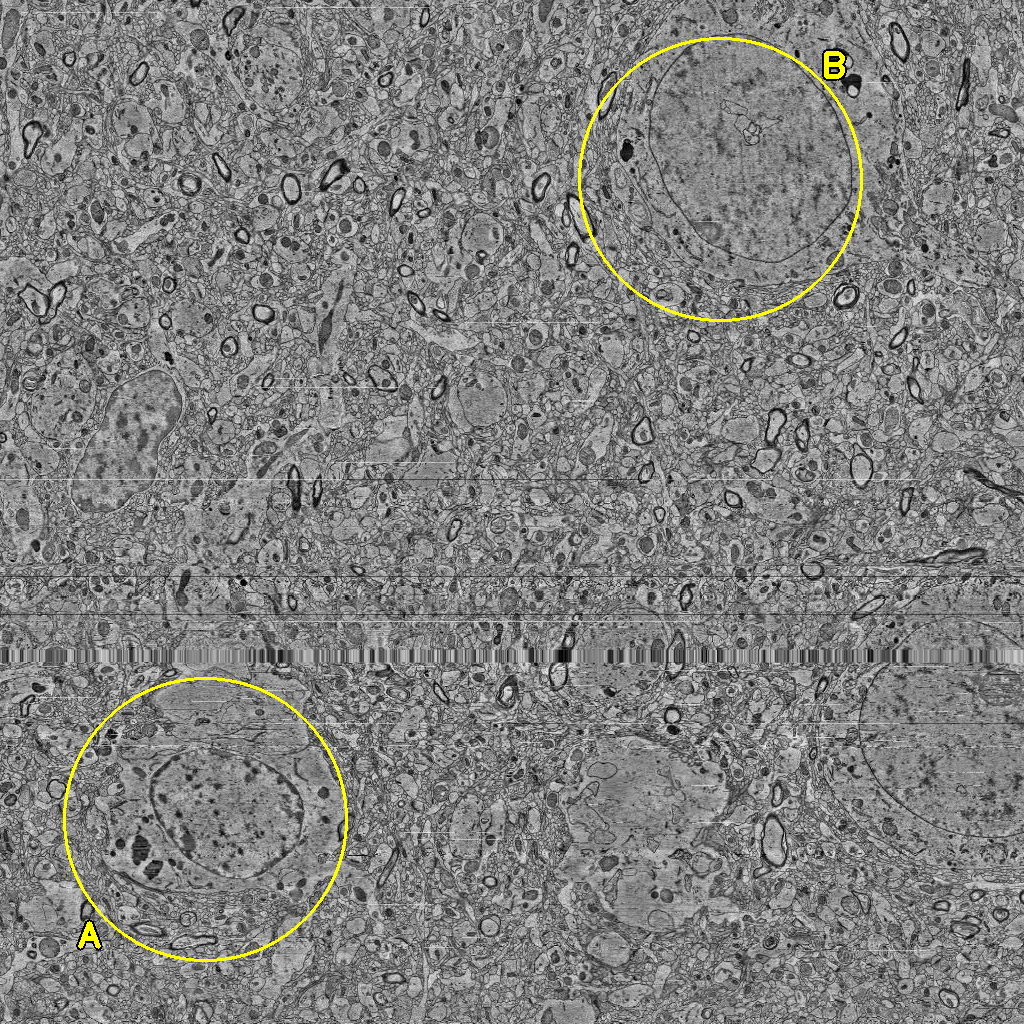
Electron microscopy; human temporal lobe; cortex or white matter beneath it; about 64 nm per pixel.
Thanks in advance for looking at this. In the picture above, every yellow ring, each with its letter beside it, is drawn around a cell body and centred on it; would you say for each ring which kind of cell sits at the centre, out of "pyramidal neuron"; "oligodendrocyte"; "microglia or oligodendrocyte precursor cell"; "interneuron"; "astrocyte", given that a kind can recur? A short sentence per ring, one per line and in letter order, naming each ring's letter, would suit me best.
The cell body in ring A belongs to an astrocyte.
The cell body in ring B belongs to a pyramidal neuron.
